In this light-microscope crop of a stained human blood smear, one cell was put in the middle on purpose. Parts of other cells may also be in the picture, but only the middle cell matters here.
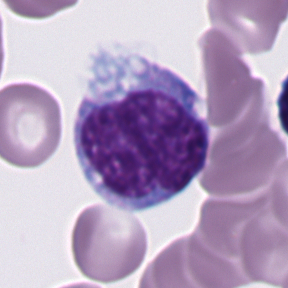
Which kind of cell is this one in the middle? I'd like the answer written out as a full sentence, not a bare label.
At the middle of the frame sits a monocyte.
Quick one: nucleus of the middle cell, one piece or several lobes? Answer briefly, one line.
In this cell the nucleus is a solitary compact mass, round, oval or kidney-shaped.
